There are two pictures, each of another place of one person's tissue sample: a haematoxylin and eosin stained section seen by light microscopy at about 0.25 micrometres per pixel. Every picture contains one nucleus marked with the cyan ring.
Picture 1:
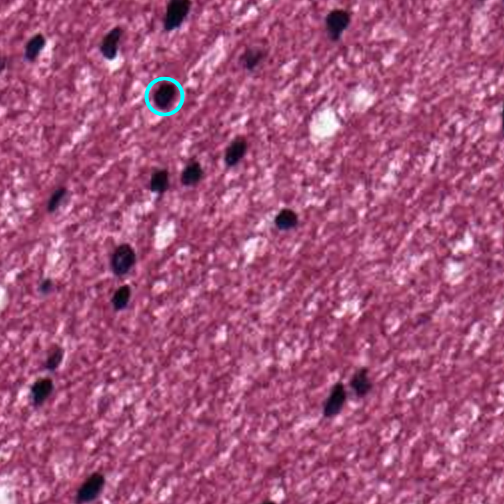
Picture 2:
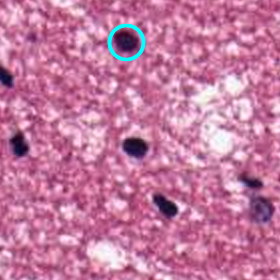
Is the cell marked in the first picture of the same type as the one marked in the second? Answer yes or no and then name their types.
Yes, both are oligodendrocytes.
